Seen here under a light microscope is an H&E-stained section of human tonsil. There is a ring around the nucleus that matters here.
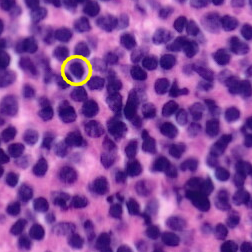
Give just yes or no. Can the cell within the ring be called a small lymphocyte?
yes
